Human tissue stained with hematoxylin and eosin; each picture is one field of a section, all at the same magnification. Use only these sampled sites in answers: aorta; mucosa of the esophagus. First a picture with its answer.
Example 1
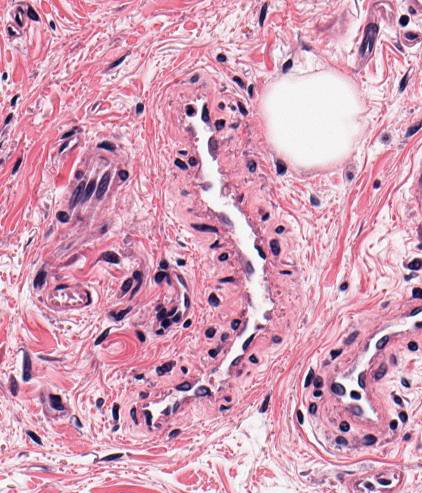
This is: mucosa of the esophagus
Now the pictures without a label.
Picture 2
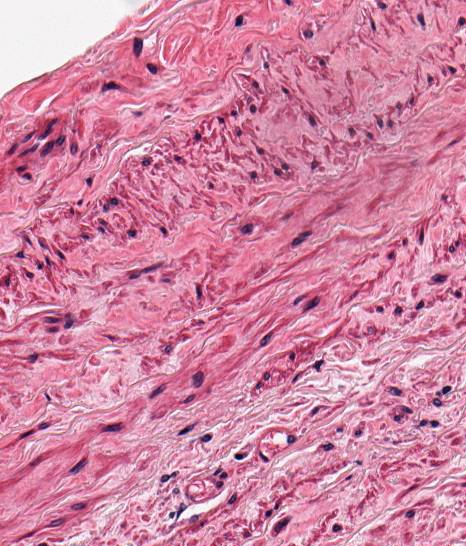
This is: aorta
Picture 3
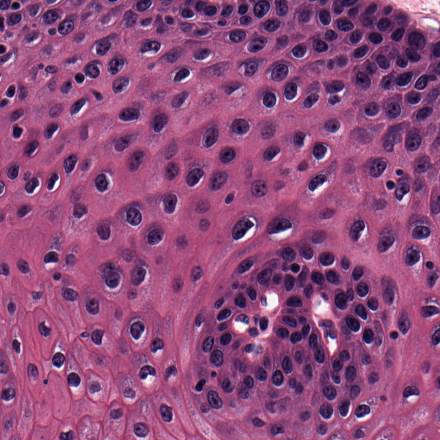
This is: mucosa of the esophagus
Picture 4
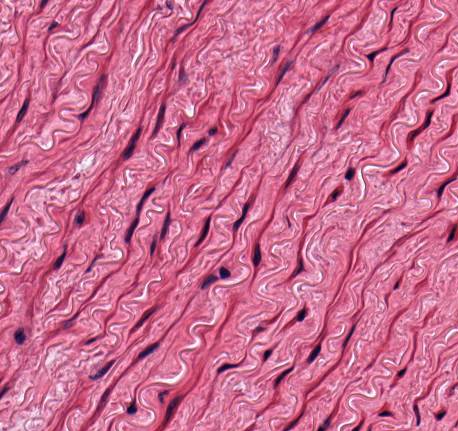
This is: aorta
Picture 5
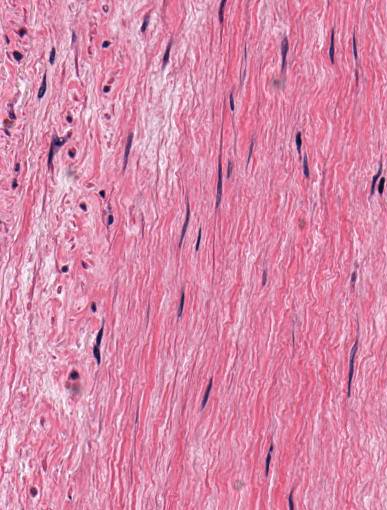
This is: aorta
